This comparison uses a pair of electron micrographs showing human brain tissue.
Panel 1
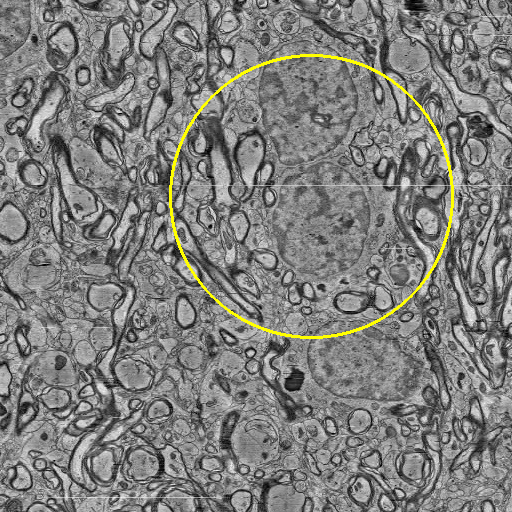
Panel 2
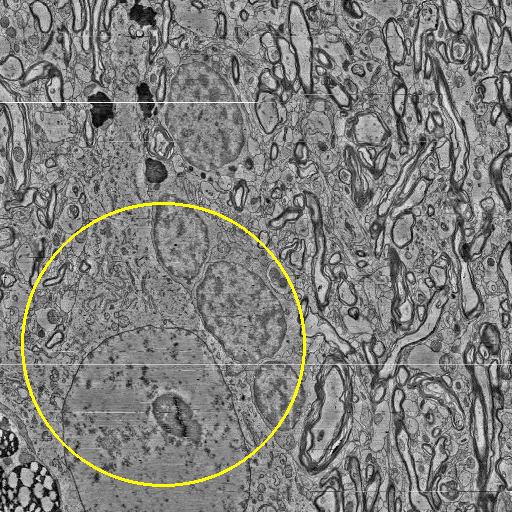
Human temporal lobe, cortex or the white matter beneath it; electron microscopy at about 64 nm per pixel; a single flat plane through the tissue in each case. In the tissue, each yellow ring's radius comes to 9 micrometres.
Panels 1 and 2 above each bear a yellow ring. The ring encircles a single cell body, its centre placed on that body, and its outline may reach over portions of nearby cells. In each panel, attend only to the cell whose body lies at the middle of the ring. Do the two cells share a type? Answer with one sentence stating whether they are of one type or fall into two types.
In Panel 1 and Panel 2, the cells at the centres of the rings fall into two types.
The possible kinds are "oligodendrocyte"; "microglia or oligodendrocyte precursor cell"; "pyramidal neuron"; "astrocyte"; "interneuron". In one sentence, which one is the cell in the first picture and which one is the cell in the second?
The cell ringed in the second picture is a pyramidal neuron, whereas the one ringed in the first is an oligodendrocyte.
